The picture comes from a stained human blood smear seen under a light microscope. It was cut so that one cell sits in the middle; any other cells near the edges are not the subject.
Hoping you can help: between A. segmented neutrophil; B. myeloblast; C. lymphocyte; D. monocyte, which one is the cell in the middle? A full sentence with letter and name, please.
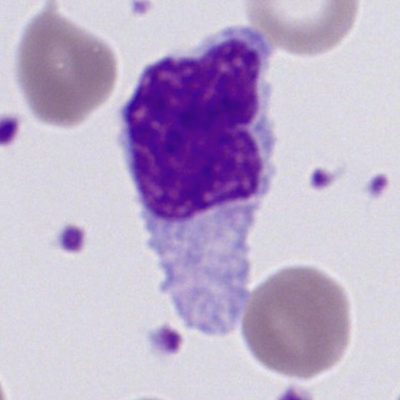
Option D is right, the centrally situated cell being a monocyte.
